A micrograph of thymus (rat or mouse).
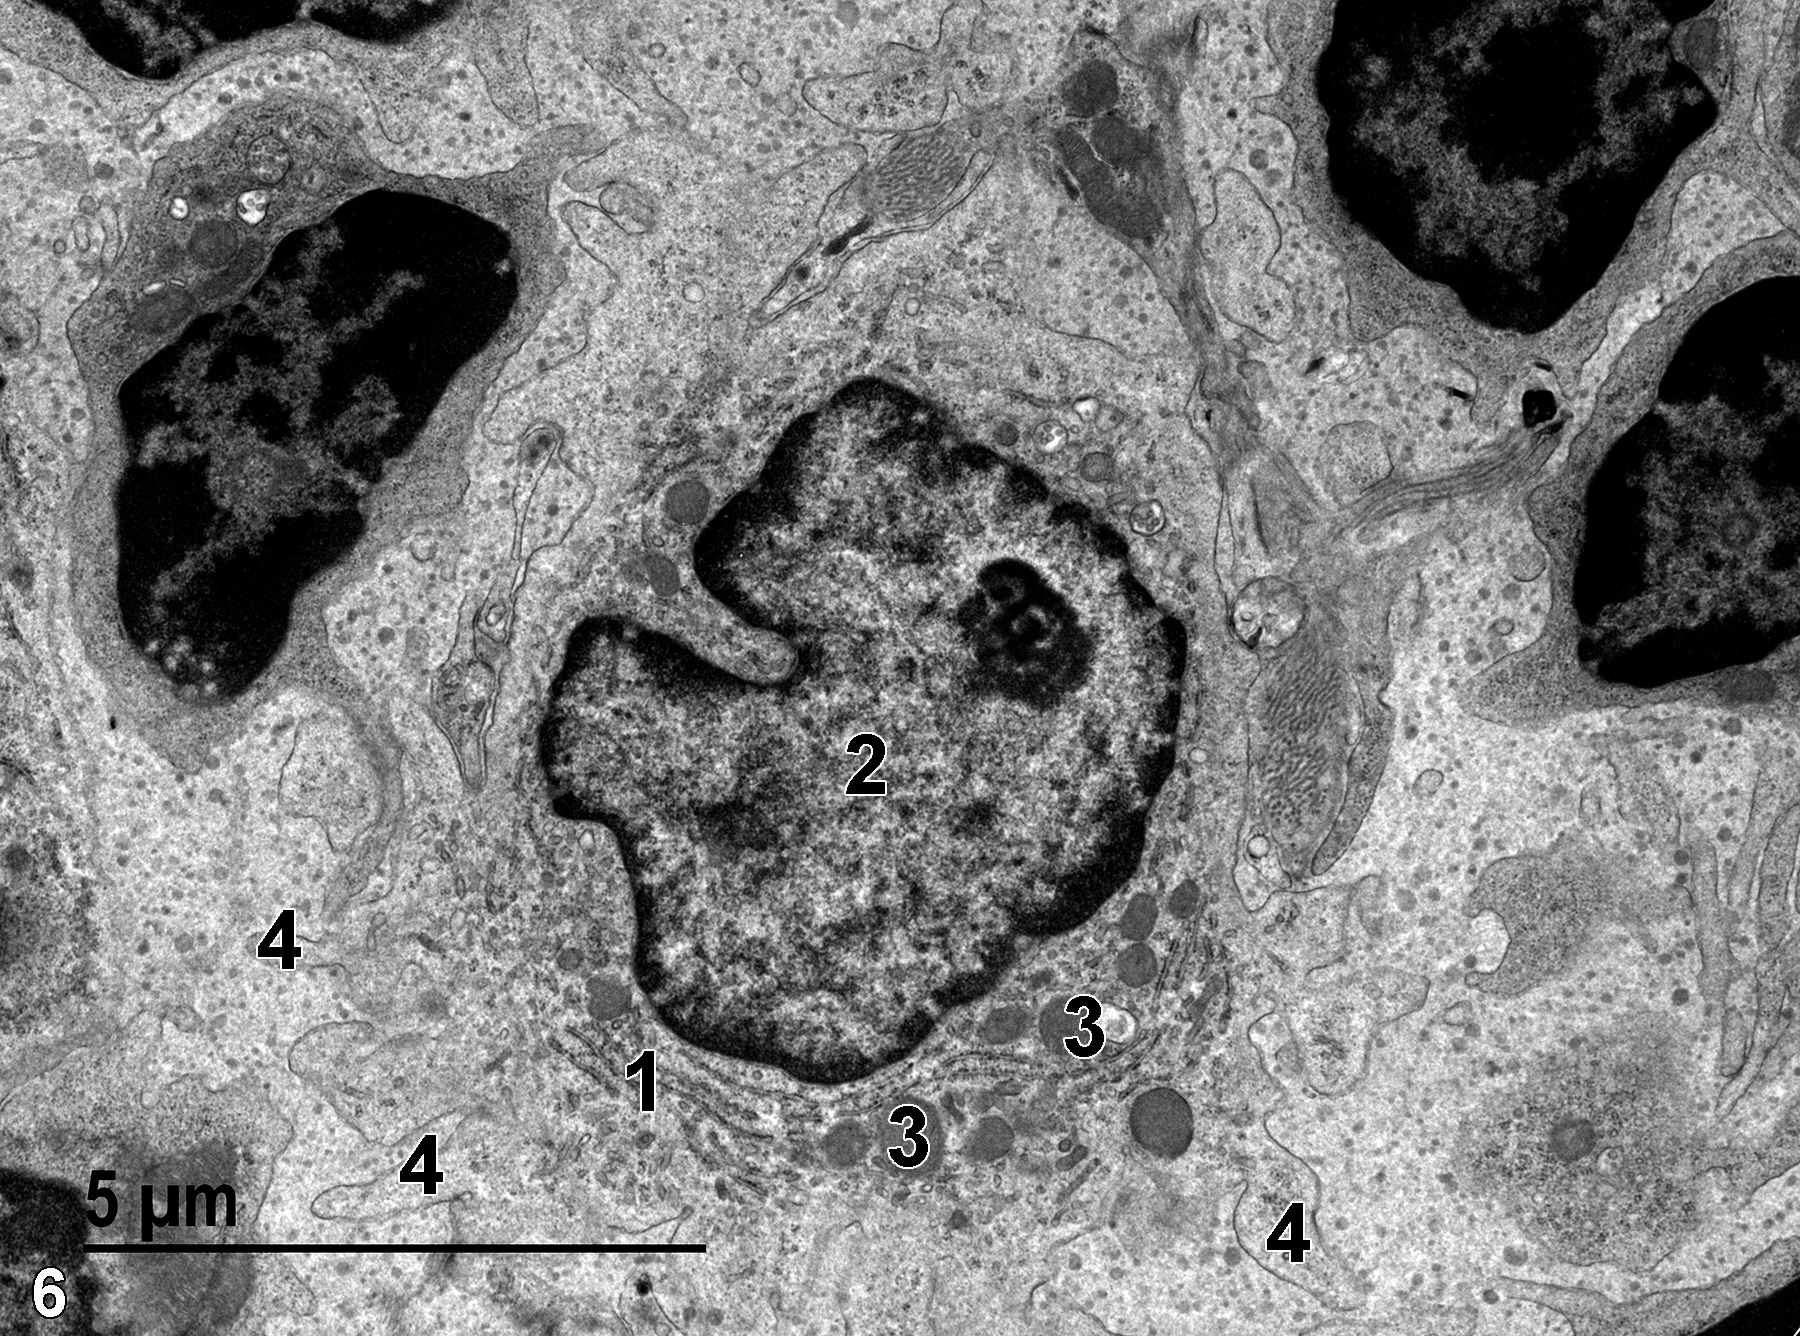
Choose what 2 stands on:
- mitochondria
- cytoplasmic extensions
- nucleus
nucleus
